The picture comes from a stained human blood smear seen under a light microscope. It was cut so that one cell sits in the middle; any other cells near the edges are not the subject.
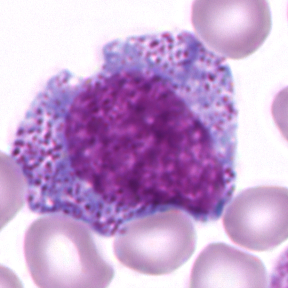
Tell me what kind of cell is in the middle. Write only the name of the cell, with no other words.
promyelocyte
